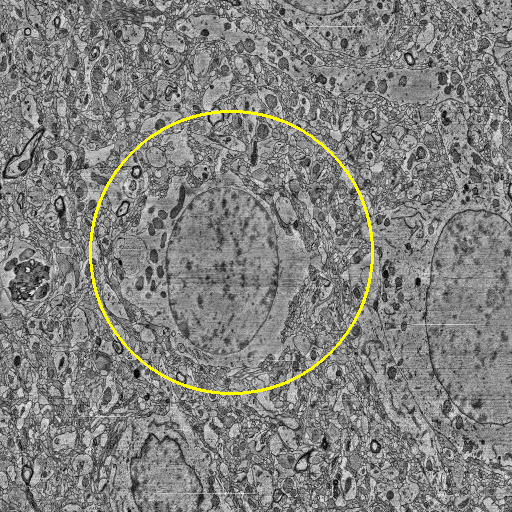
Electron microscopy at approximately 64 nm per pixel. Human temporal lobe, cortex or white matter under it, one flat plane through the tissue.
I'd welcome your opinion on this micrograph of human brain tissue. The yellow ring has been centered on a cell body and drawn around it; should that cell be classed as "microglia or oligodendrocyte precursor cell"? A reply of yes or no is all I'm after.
no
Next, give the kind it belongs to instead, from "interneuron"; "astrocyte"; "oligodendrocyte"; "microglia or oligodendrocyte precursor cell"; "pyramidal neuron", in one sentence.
The cell in question here is an astrocyte.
